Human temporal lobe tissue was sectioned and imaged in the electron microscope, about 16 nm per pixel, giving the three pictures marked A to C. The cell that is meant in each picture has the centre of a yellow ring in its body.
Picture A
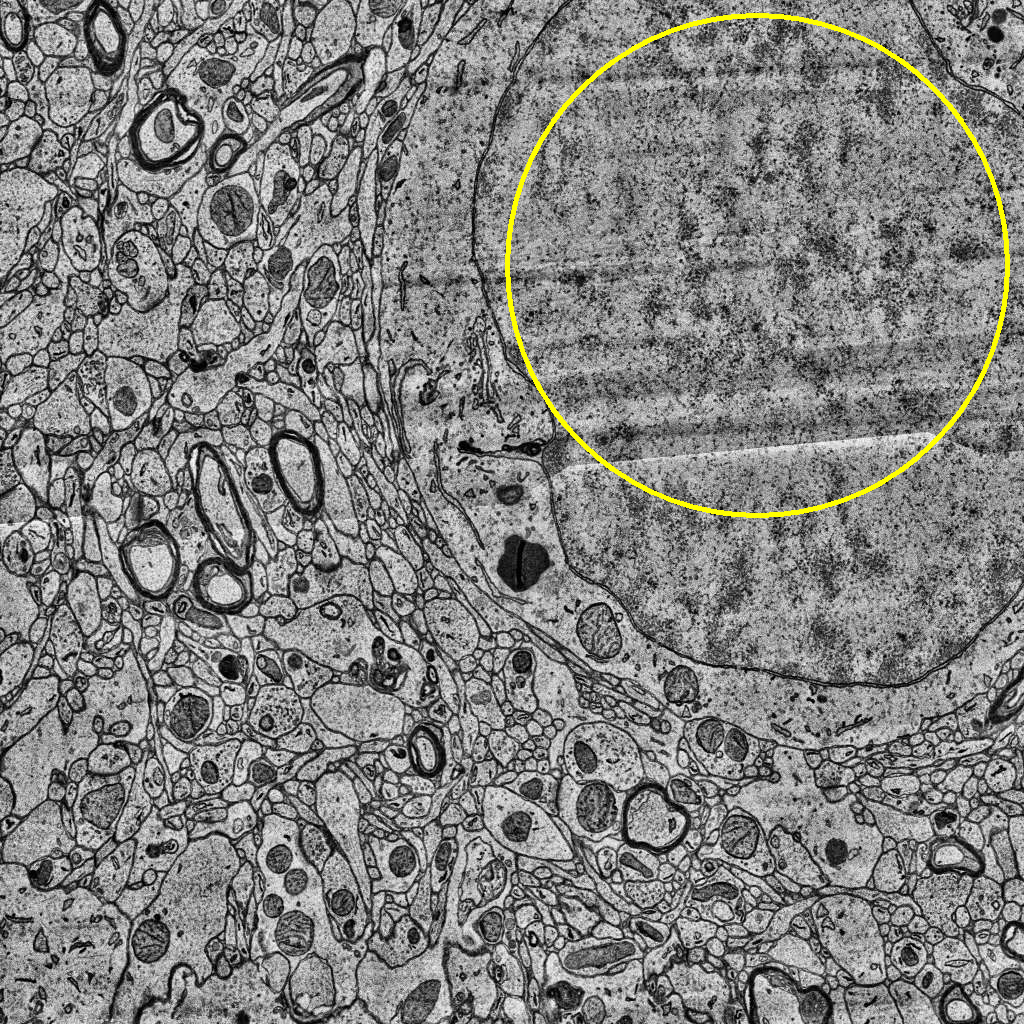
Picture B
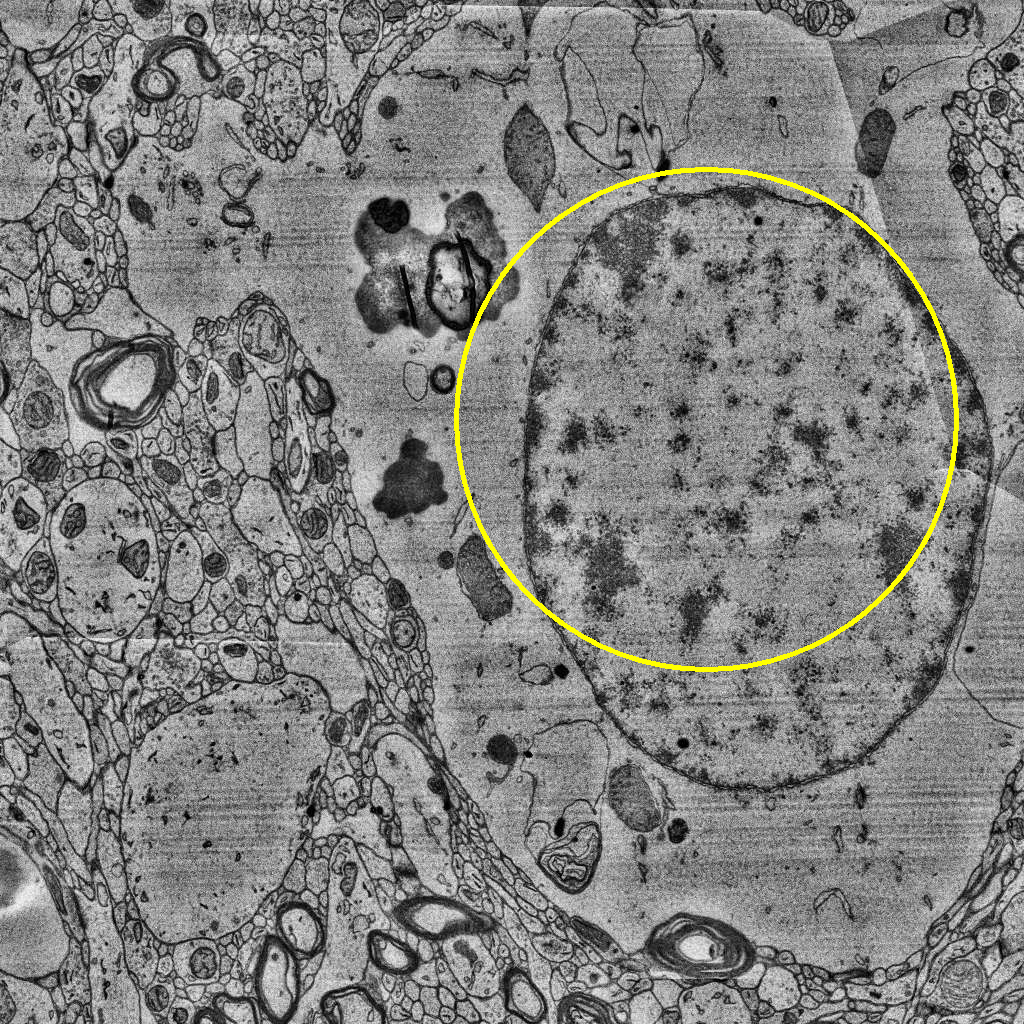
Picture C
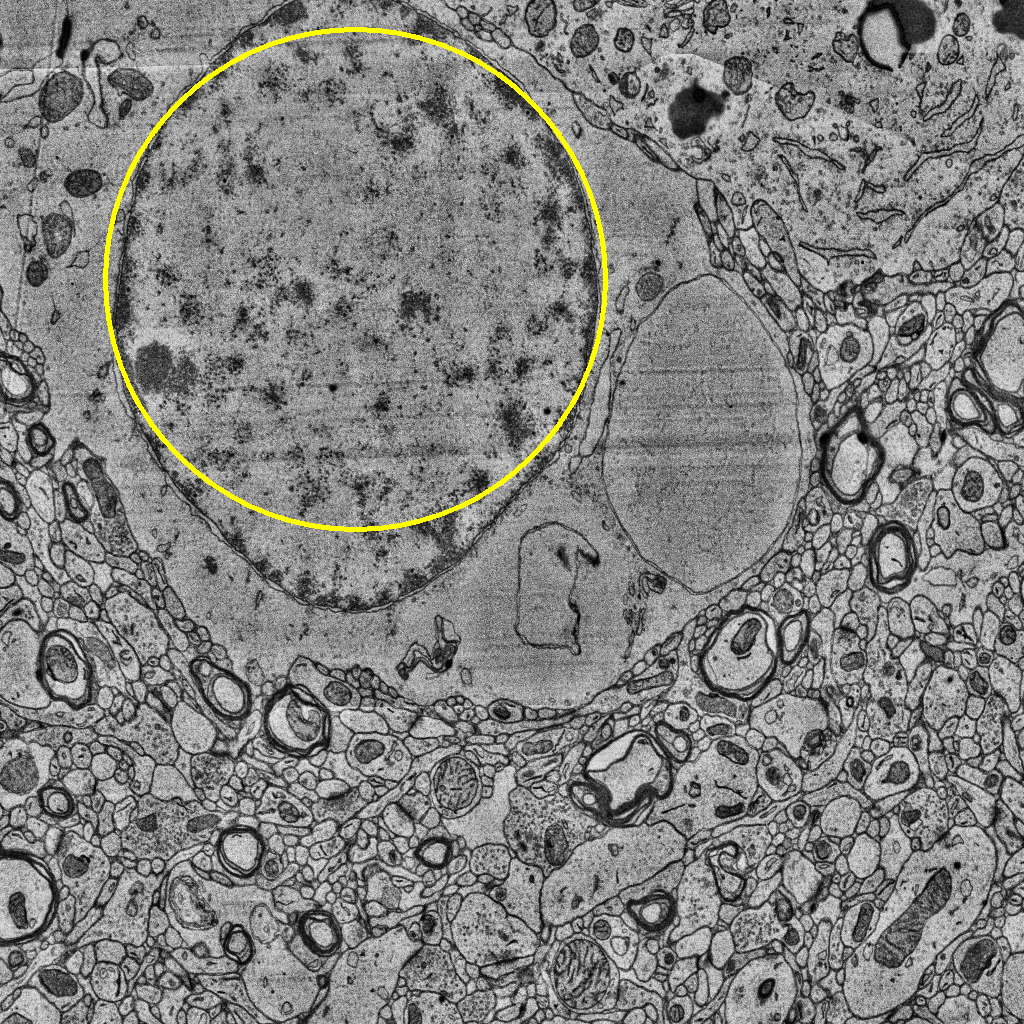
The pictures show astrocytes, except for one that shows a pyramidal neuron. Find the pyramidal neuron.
The cell in picture A is the pyramidal neuron.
